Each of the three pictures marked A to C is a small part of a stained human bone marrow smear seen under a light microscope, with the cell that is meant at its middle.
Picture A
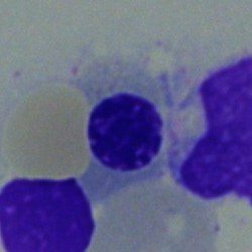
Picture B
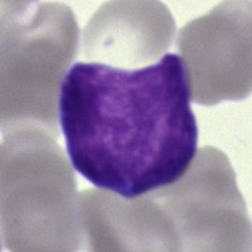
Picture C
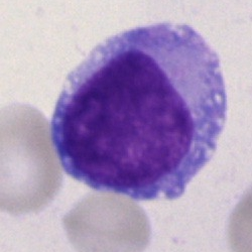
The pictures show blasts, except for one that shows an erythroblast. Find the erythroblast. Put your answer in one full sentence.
The erythroblast is the one in picture A.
